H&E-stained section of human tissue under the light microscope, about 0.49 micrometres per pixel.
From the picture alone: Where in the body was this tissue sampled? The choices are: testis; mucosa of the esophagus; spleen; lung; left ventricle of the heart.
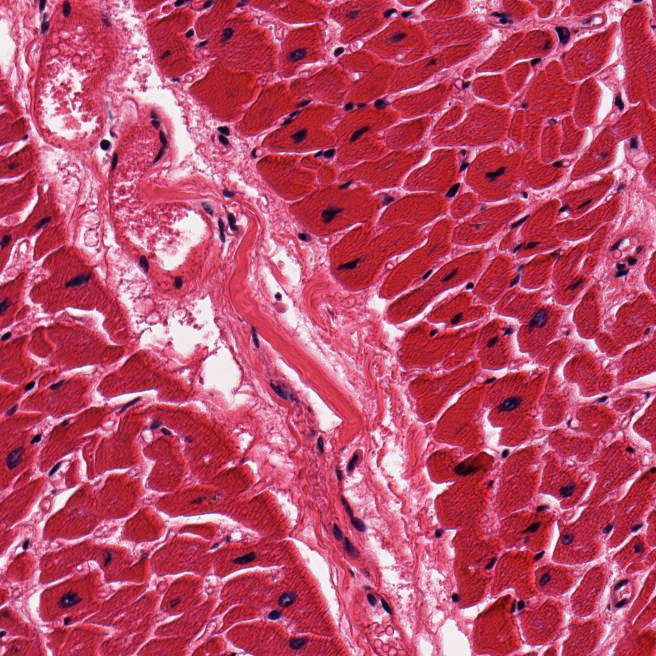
left ventricle of the heart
